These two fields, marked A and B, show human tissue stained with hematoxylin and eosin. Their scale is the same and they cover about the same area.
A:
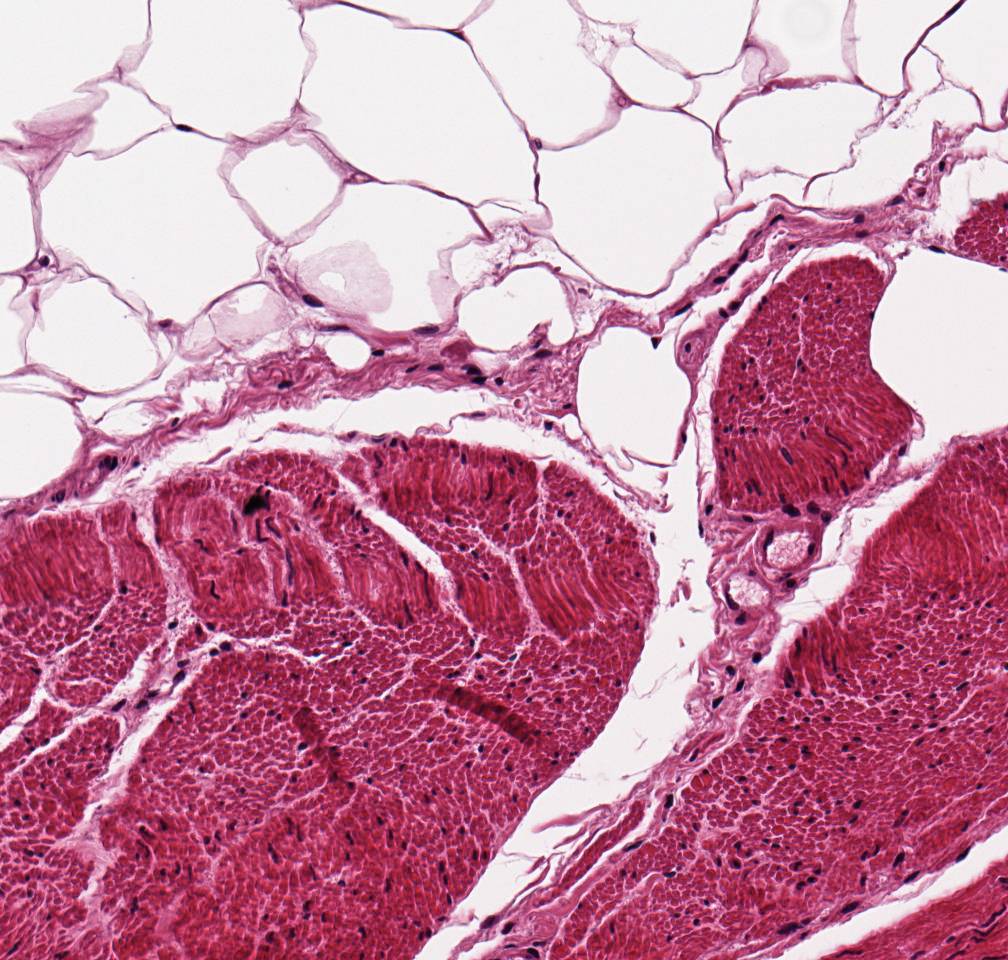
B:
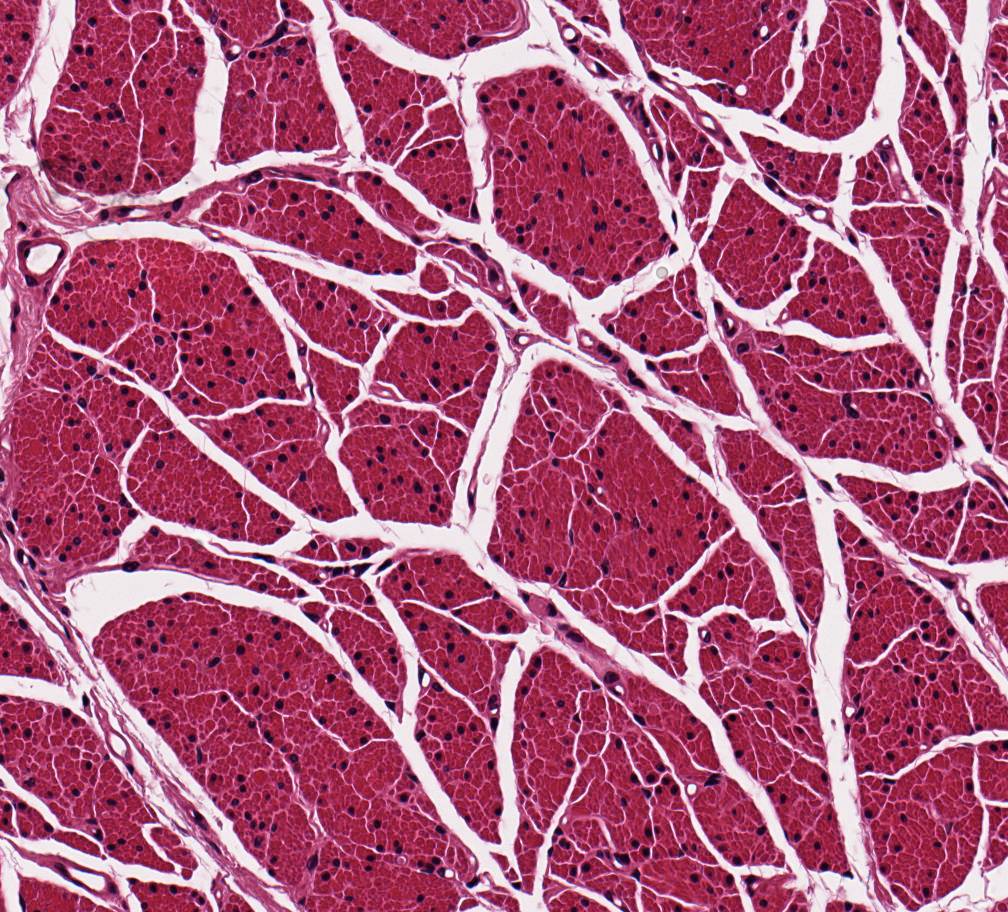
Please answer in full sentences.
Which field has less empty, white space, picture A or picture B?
It is picture B that stained tissue fills more completely.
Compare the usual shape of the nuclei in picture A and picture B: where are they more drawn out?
On the whole the nuclei of picture A are more drawn out than those of picture B.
